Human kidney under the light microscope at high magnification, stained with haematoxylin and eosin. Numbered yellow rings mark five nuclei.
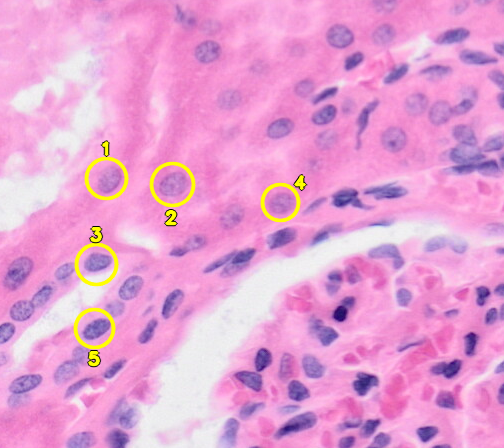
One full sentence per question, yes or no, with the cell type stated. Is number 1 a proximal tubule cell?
Yes, the cell with number 1 is a proximal tubule cell.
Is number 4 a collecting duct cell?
No, the cell with the number 4 is a proximal tubule cell, not a collecting duct cell.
